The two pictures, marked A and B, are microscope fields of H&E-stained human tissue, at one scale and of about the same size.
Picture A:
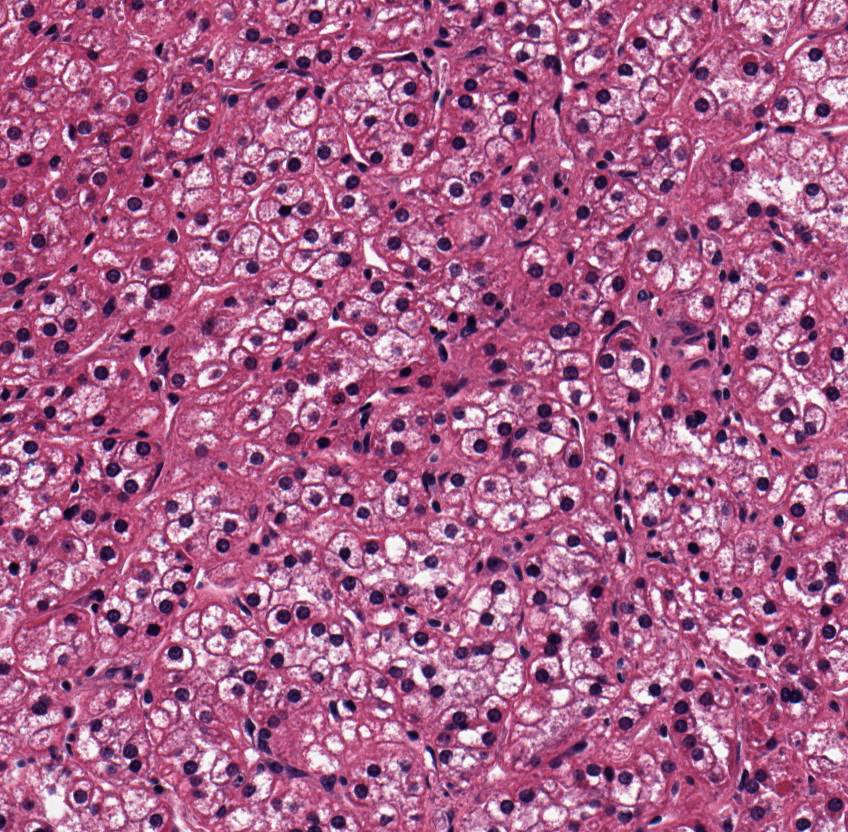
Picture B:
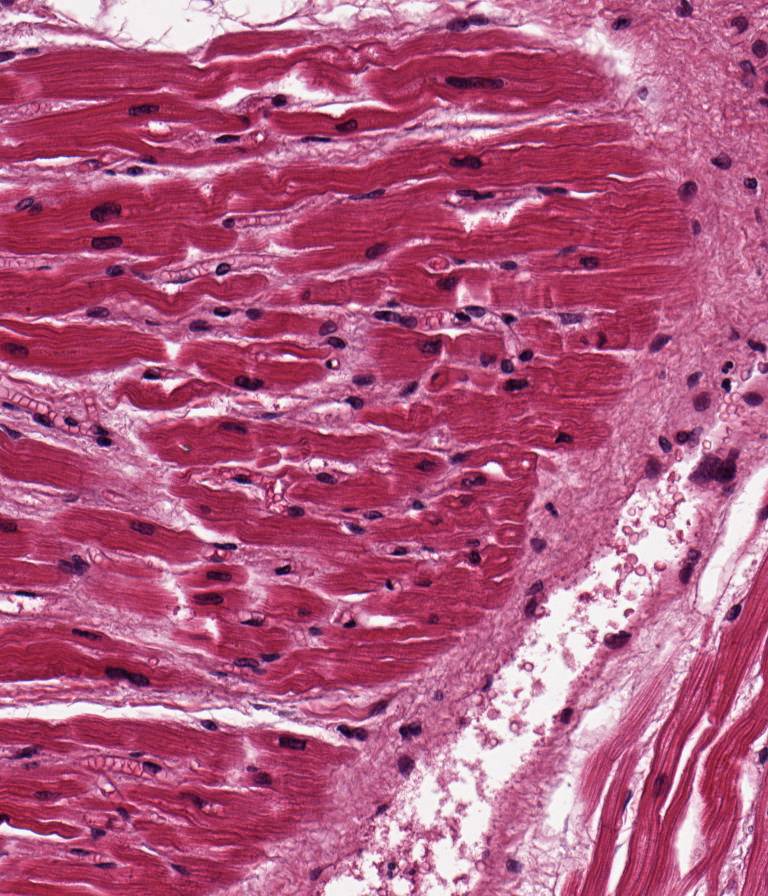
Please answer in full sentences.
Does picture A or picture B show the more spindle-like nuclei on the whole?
Longer, more slender nuclei lie in picture B.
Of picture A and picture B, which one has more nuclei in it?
There are more nuclei in picture A.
